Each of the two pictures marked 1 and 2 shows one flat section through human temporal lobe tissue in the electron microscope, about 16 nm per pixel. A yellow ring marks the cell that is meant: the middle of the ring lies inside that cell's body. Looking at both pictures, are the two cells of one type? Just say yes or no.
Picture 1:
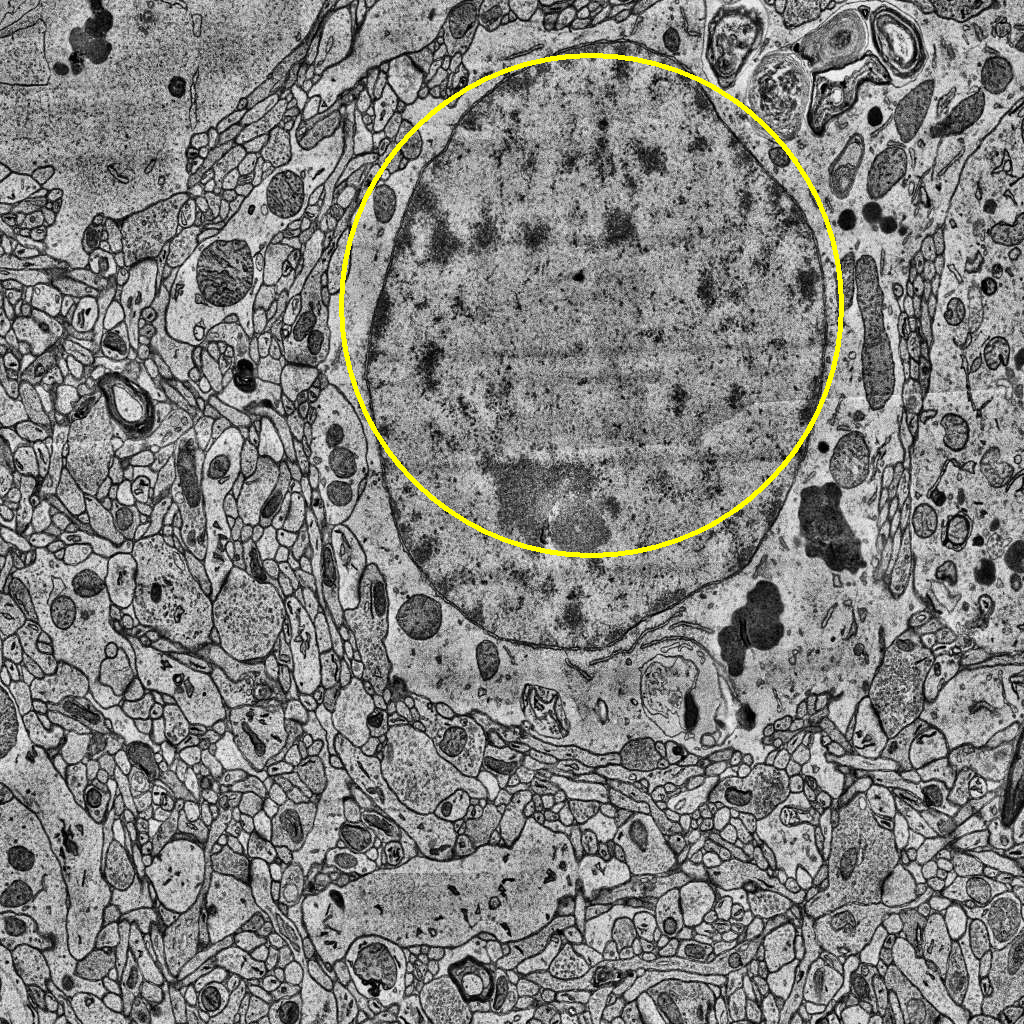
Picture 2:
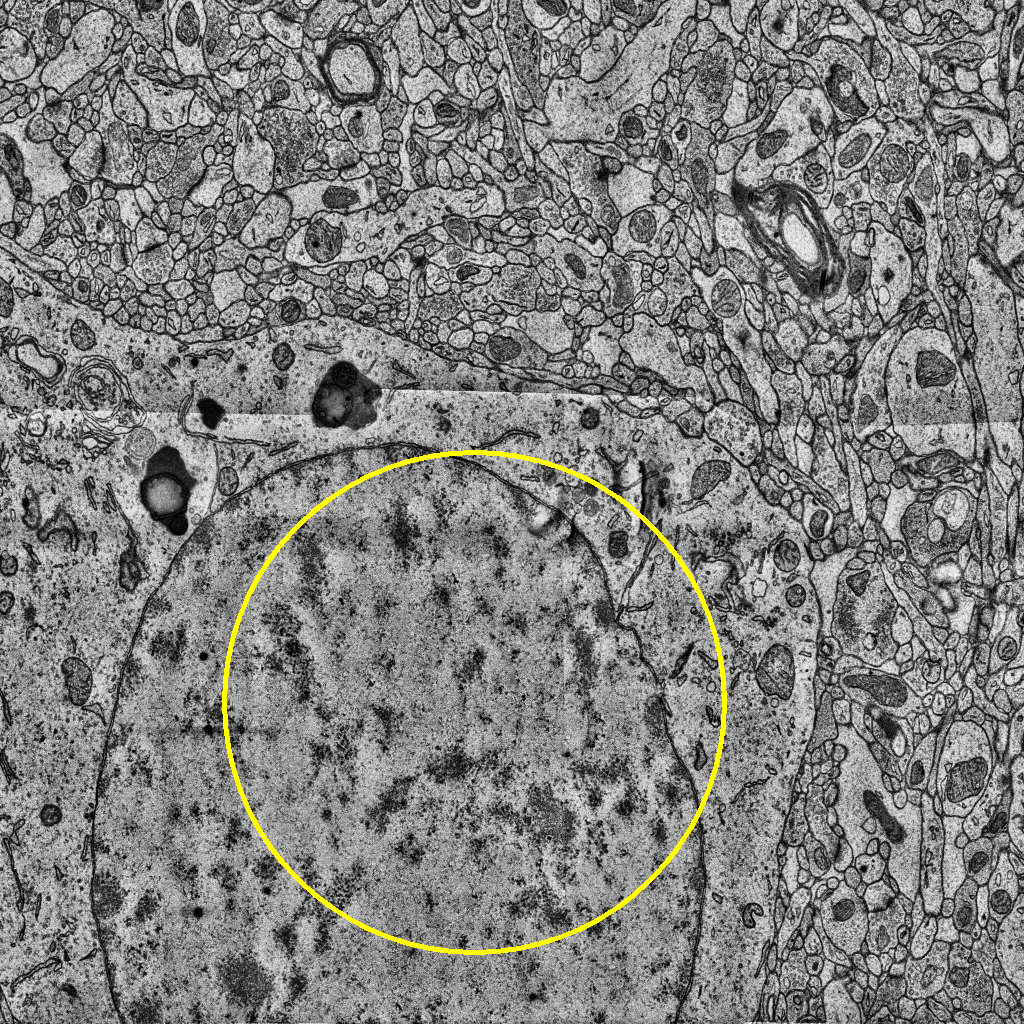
no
